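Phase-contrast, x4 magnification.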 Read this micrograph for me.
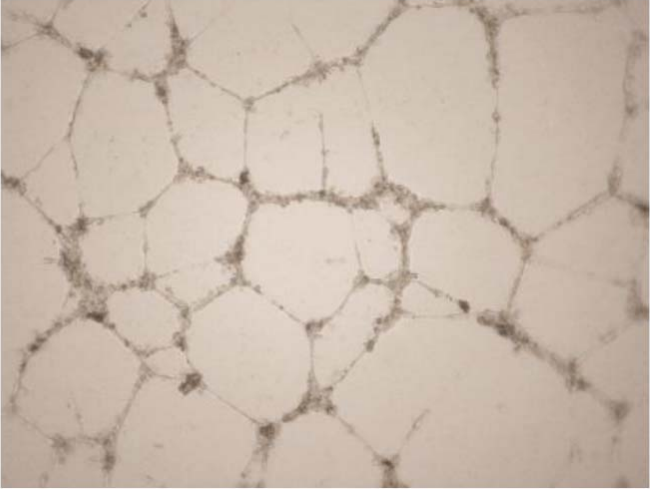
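The cords outline closed, empty polygonal areas of varying size. Small dark clumps of cells lie at many of the branch points.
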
